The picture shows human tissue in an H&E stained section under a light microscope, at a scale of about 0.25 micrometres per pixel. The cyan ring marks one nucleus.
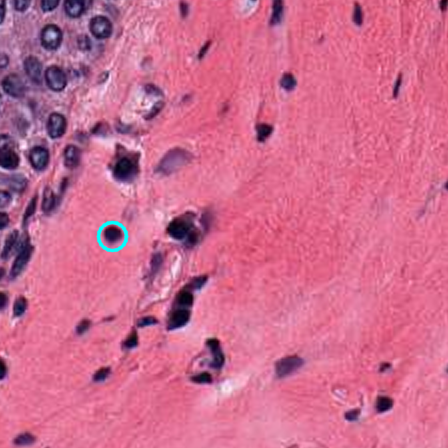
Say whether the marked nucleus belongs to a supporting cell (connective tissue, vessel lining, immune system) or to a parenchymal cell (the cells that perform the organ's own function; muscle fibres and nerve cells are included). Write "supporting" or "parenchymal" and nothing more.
supporting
